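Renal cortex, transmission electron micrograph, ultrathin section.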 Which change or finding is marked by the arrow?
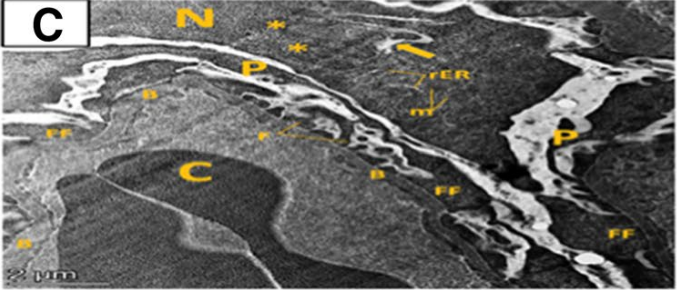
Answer: perinuclear spacing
